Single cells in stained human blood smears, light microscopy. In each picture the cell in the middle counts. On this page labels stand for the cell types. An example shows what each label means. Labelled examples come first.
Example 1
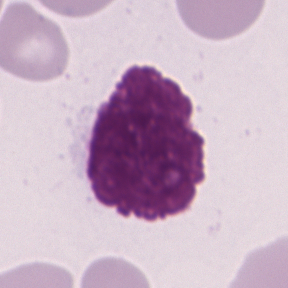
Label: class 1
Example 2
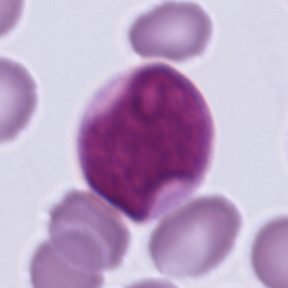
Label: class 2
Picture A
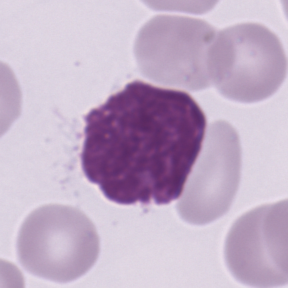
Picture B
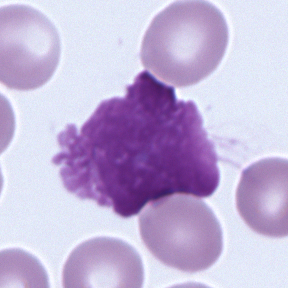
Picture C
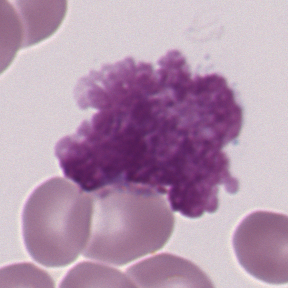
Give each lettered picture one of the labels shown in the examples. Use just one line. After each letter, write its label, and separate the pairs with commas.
A class 1, B class 1, C class 1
